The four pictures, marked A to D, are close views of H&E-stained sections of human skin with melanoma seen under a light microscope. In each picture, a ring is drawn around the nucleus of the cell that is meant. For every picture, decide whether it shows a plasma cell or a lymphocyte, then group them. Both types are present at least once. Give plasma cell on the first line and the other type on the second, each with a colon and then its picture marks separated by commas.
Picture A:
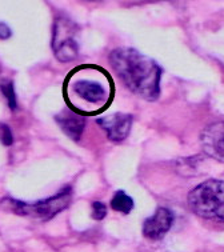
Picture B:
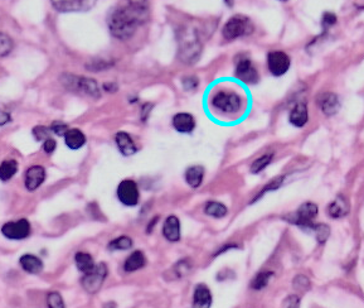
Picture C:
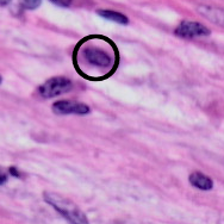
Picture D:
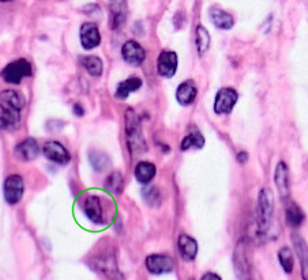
plasma cell: B, C, D
lymphocyte: A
